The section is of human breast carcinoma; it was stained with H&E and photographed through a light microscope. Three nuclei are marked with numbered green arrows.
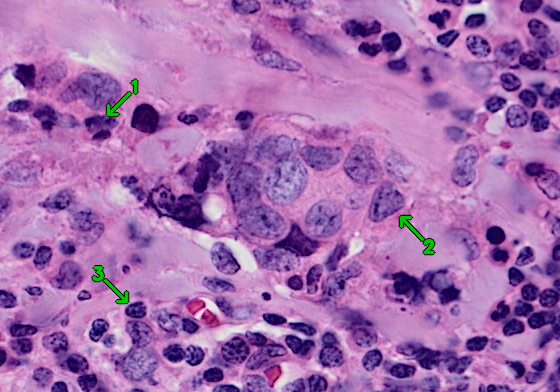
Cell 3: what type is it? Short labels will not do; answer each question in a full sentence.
Among the marked nuclei, number 3 belongs to a lymphocyte.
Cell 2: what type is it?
The cell referenced by the number 2 is a carcinoma cell in this field.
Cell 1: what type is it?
The numbered cell 1 is identified here as a carcinoma cell.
